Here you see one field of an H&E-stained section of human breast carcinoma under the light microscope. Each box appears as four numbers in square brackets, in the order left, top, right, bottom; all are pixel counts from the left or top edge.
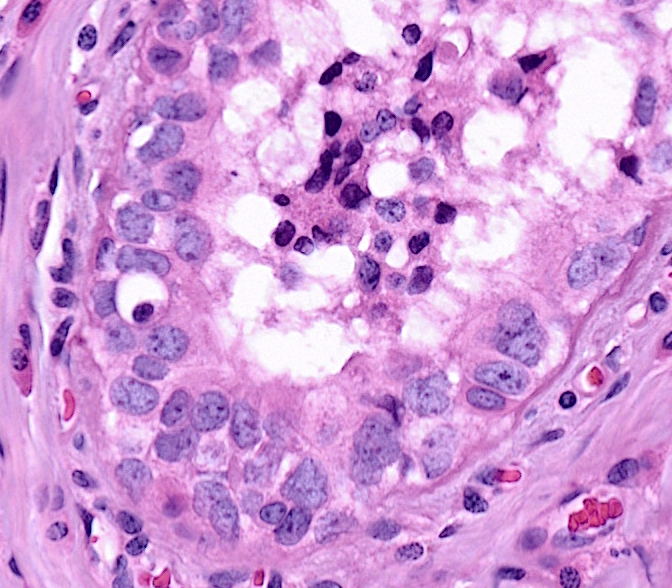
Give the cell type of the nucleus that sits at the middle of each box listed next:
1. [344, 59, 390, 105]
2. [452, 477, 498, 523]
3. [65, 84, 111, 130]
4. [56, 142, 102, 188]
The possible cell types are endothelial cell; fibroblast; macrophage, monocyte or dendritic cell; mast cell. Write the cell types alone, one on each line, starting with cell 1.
macrophage, monocyte or dendritic cell
mast cell
endothelial cell
fibroblast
